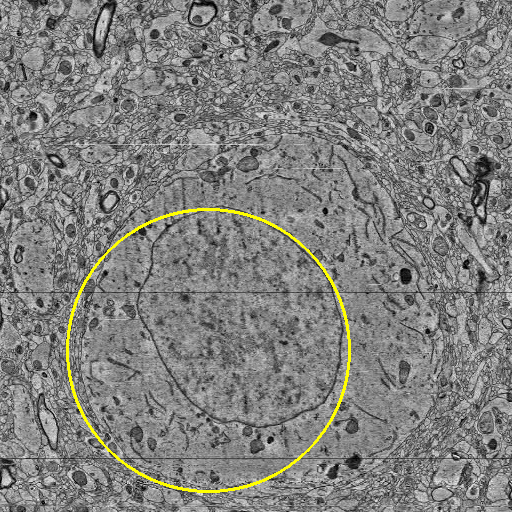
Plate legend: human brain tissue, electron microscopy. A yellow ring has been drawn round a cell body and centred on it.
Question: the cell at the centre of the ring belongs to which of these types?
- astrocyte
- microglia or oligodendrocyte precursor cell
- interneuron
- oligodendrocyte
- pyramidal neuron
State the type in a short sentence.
The cell in the middle of the ring is a pyramidal neuron.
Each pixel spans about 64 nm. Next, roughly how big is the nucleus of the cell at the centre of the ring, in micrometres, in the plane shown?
About 15 by 12 micrometers for the nucleus, in this plane.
